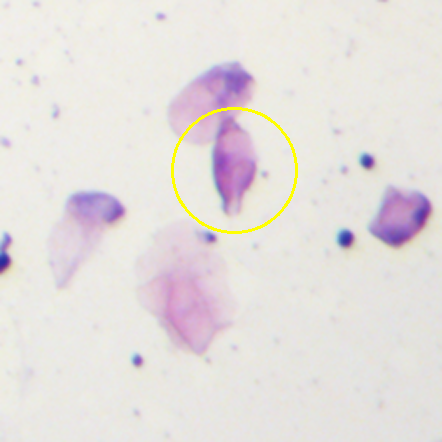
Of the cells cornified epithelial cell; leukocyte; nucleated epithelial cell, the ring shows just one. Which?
The ring shows a cornified epithelial cell.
